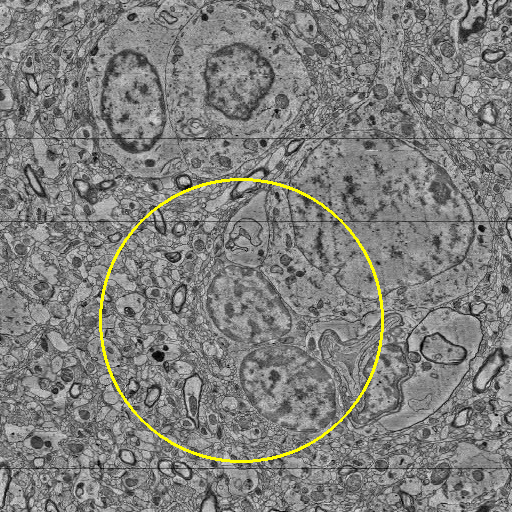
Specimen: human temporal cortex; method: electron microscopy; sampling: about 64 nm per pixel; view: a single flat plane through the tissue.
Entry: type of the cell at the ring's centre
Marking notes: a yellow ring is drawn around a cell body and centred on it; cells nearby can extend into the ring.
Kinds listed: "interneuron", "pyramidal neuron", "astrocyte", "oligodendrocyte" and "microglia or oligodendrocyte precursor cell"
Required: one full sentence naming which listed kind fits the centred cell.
My entry names an oligodendrocyte as the cell whose body the yellow ring centres on.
